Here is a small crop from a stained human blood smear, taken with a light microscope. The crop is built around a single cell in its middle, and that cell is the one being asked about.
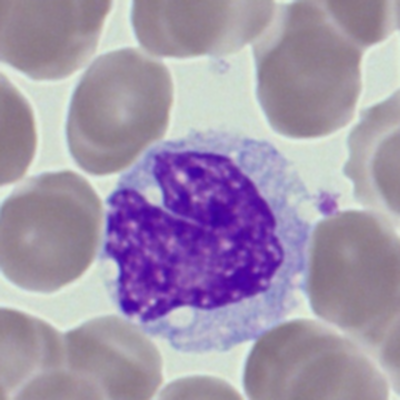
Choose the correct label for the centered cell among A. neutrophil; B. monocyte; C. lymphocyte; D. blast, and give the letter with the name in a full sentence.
What sits in the middle of the crop is a monocyte, and option B is correct.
